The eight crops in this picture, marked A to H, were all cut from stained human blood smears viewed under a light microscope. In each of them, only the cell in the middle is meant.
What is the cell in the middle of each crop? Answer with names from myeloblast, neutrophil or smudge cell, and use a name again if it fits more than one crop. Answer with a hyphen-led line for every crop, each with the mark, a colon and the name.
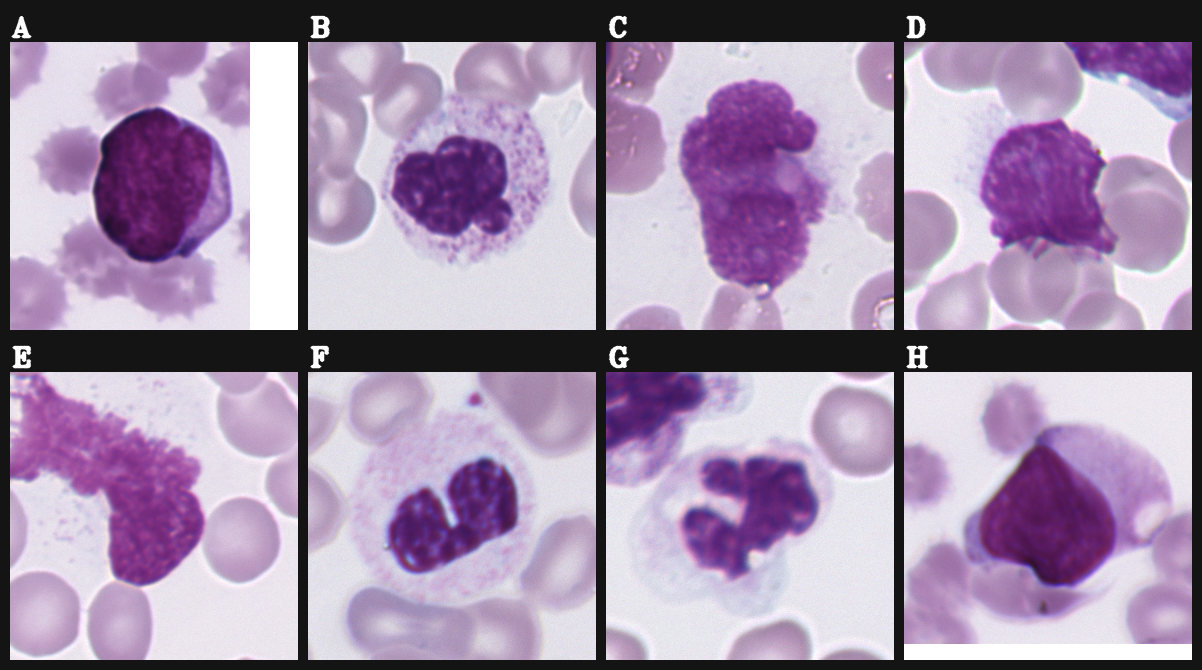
- A: myeloblast
- B: neutrophil
- C: smudge cell
- D: smudge cell
- E: smudge cell
- F: neutrophil
- G: neutrophil
- H: myeloblast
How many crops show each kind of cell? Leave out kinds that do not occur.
neutrophil: 3
smudge cell: 3
myeloblast: 2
